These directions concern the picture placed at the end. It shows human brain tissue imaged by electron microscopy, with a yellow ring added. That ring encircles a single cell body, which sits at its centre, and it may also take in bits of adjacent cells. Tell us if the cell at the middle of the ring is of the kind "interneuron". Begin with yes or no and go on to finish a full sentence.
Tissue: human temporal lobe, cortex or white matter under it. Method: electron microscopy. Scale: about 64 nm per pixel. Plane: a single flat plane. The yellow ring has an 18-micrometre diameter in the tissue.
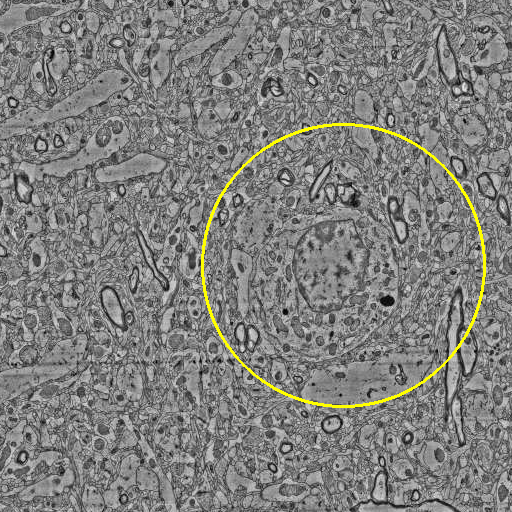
Yes, the cell sitting at the centre of the yellow ring in the picture is of that kind.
